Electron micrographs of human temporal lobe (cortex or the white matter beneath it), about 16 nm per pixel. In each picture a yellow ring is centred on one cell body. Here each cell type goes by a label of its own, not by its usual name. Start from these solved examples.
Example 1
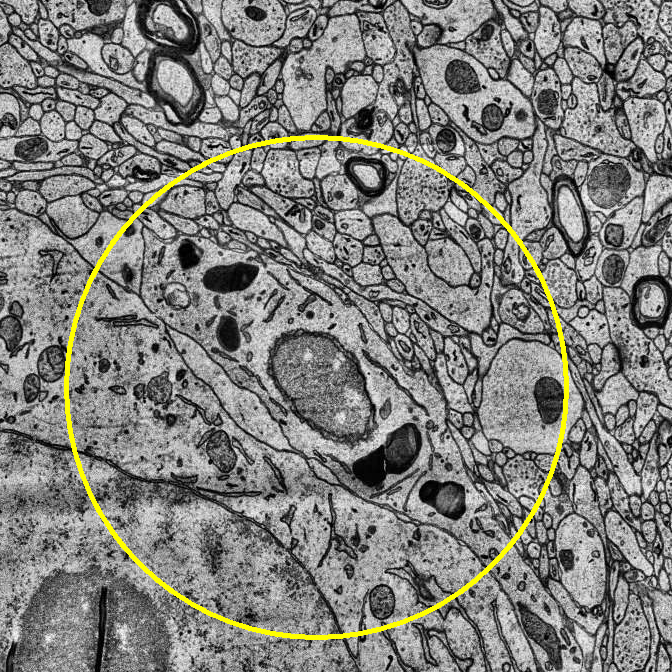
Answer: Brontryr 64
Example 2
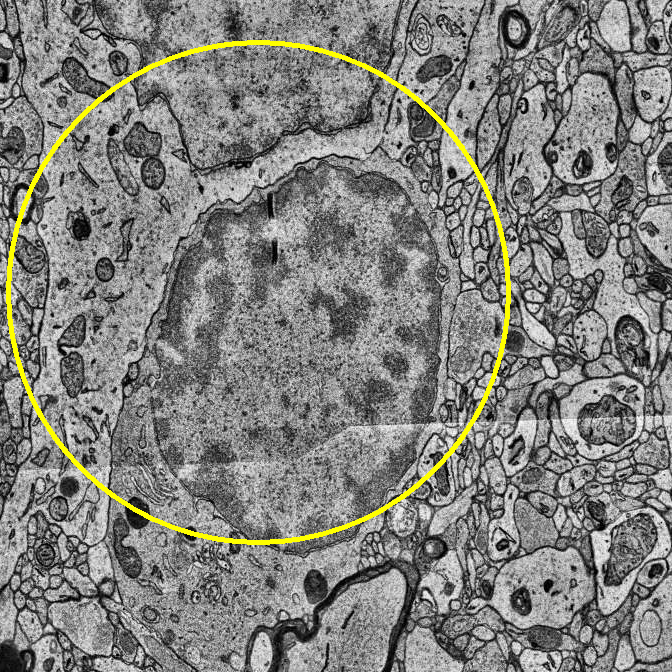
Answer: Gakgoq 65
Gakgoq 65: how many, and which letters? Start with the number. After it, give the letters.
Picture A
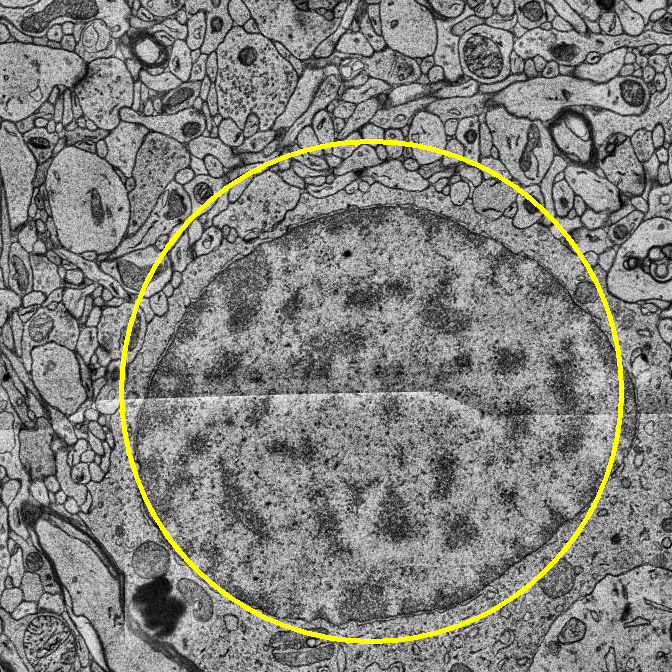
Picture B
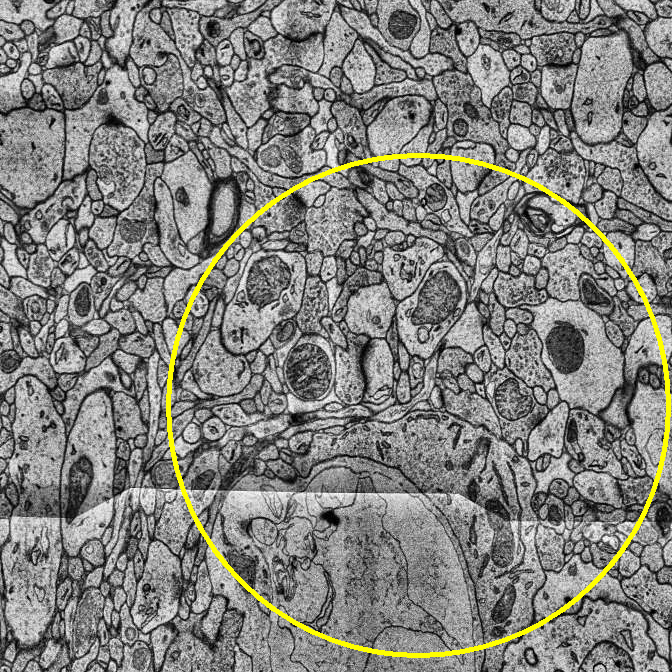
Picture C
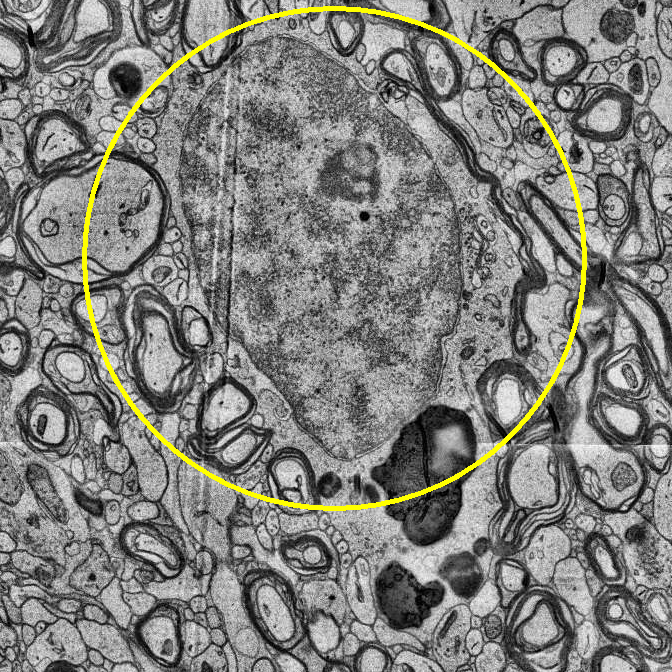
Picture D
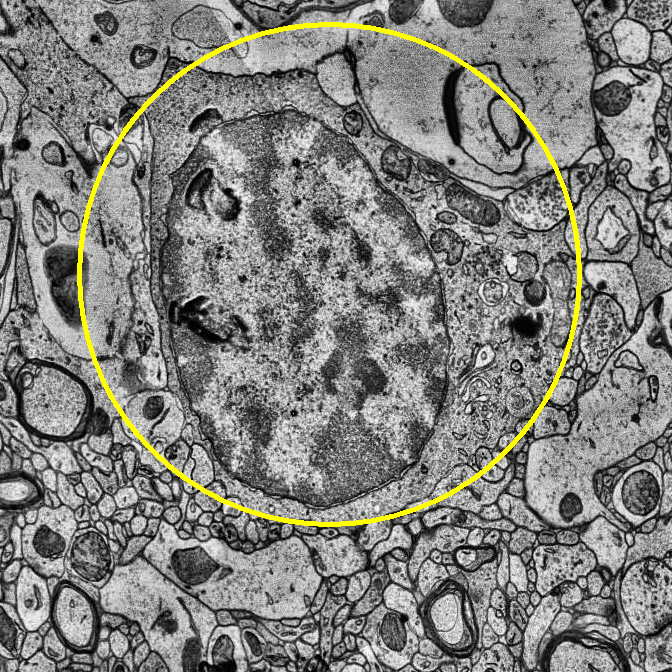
3: A, C, D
